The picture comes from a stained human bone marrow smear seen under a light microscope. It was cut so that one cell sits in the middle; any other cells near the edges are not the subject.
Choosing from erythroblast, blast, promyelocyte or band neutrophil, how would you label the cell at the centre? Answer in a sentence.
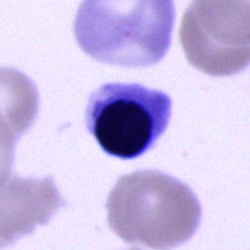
This crop has an erythroblast at its centre.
